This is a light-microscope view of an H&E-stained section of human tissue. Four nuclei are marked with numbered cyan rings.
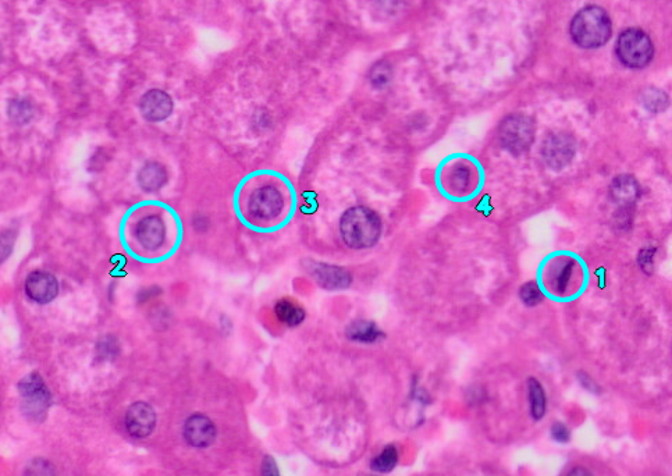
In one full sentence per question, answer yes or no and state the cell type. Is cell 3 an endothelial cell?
No, the cell denoted 3 is a hepatocyte rather than an endothelial cell.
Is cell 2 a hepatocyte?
Yes, the one with the number 2 is a hepatocyte.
